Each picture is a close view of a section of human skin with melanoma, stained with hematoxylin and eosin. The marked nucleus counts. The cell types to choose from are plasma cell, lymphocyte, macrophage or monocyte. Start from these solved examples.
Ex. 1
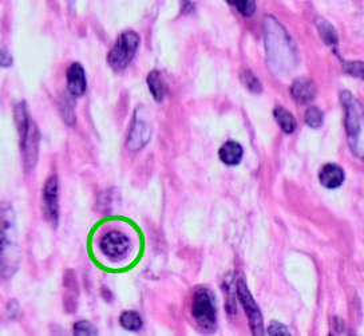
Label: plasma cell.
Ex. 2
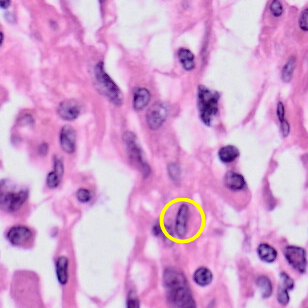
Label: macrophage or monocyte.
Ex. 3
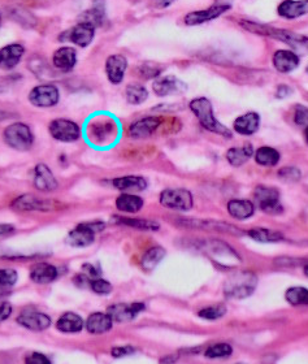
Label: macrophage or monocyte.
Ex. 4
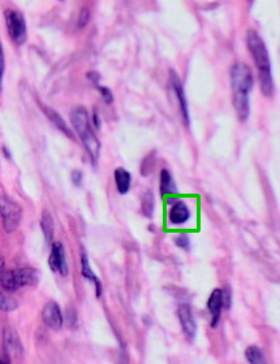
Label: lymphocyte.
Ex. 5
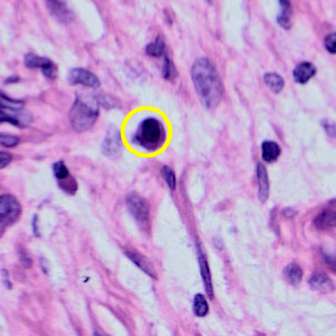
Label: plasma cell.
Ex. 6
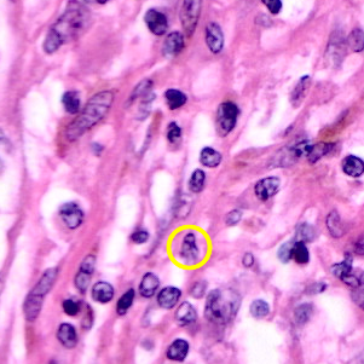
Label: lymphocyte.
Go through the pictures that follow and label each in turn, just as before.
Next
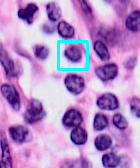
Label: lymphocyte.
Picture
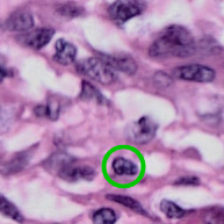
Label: lymphocyte.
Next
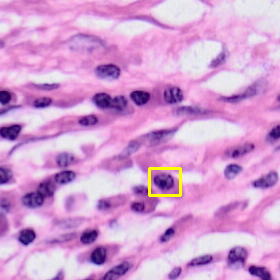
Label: plasma cell.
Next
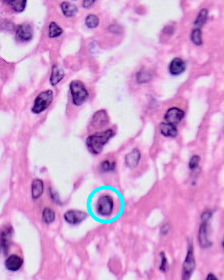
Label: lymphocyte.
